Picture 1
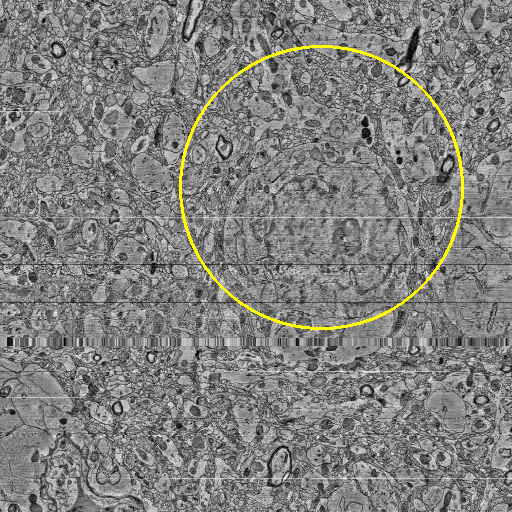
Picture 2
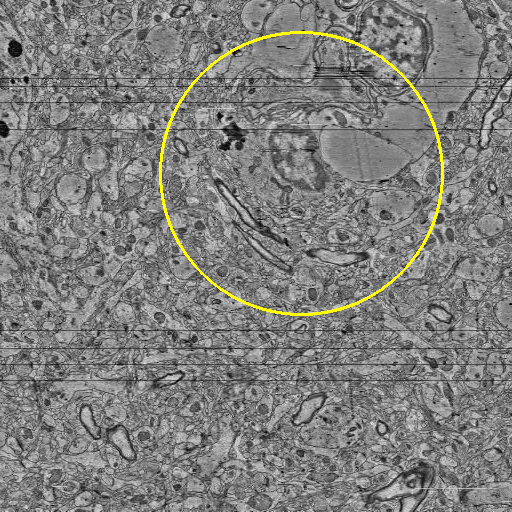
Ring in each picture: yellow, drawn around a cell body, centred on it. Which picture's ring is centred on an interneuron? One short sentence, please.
Picture 1 is the one.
